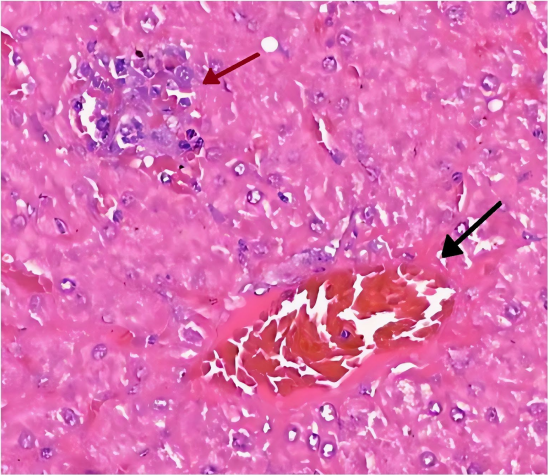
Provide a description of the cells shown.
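This is liver tissue with sheets of polygonal hepatocytes with round central nuclei and pink cytoplasm. A widened blood space packed with red-staining blood cuts across the lower right, and near the top a small focus of lost liver cells is occupied by bluish-purple material with clustered small dark nuclei of inflammatory cells.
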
